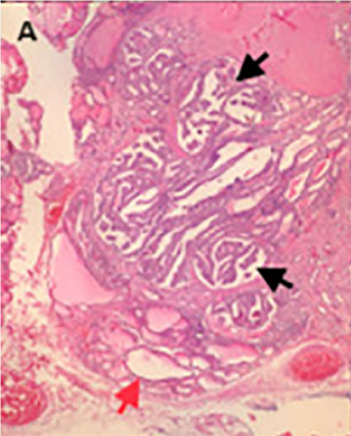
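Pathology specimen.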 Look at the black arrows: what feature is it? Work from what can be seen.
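Focal papillary area. Branching fronds of epithelium with thin cores project into open spaces. The fronds form a rounded, crowded focus in the middle of the field.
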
